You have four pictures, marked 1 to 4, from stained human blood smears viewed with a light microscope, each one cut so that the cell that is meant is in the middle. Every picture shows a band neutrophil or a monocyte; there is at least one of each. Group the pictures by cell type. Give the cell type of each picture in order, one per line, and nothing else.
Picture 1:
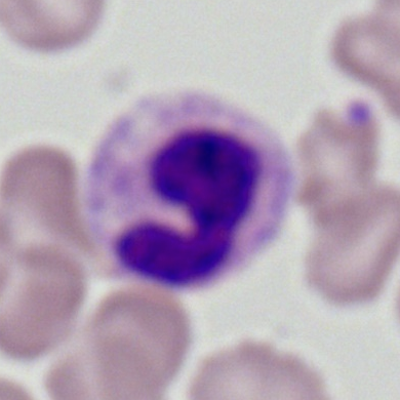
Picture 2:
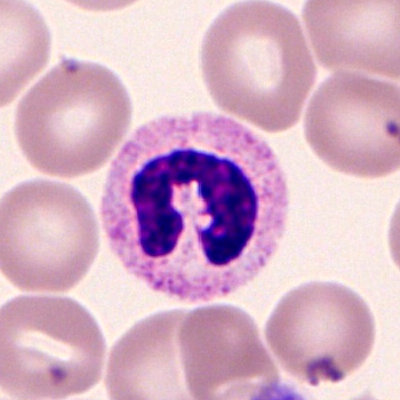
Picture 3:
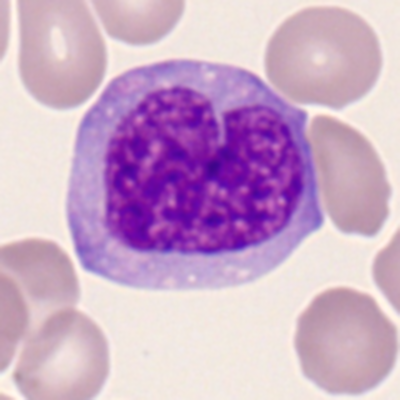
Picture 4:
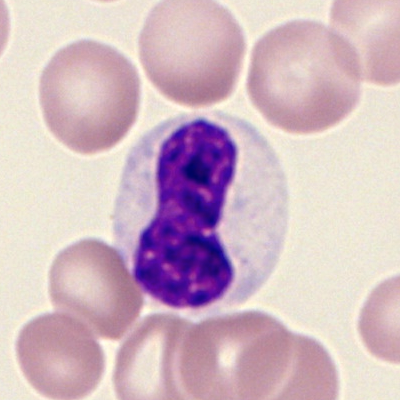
band neutrophil
band neutrophil
monocyte
band neutrophil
